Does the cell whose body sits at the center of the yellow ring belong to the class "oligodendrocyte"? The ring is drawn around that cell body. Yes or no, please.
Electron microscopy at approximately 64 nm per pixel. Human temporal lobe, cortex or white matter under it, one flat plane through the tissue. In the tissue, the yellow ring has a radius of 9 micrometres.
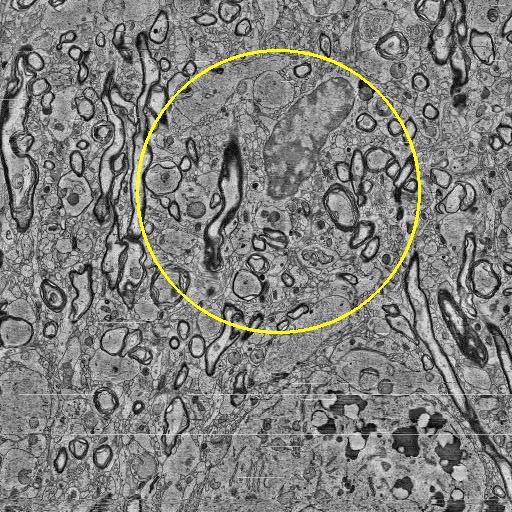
No, it belongs to another class.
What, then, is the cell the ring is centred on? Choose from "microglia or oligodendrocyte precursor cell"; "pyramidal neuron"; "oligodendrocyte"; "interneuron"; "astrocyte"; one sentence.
It is a microglial cell or oligodendrocyte precursor cell at the centre of the ring.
